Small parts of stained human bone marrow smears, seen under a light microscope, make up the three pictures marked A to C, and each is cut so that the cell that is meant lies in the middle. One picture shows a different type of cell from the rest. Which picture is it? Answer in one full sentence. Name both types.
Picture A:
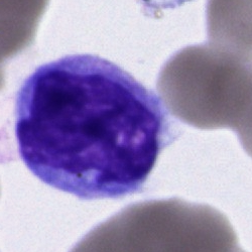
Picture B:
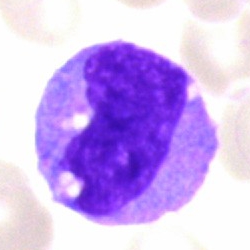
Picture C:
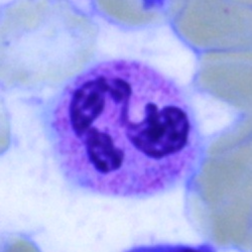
Picture C differs, because its cell is a segmented neutrophil and the rest are monocytes.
